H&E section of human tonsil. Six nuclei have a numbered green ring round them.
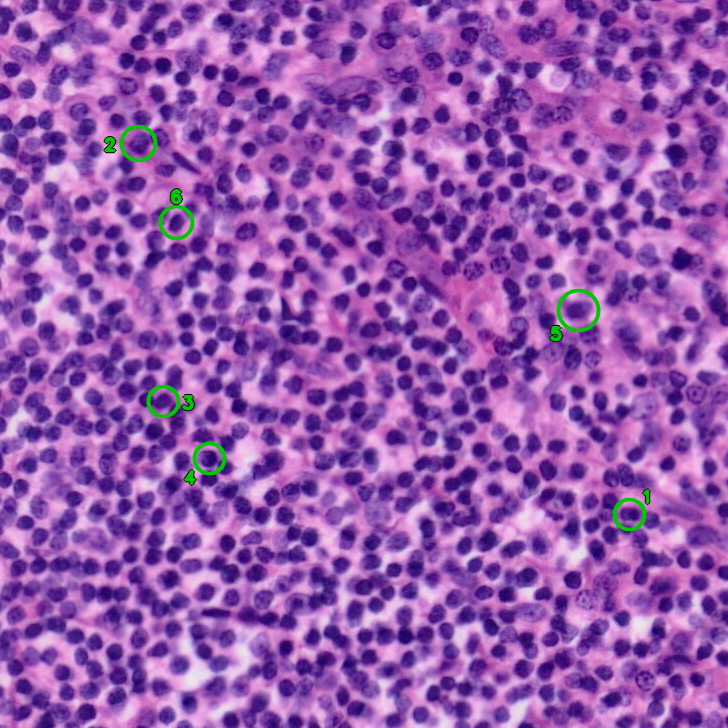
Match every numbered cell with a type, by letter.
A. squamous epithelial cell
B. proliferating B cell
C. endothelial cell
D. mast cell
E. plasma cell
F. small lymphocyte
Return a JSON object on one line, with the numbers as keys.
{"1": "F", "2": "E", "3": "F", "4": "F", "5": "B", "6": "F"}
